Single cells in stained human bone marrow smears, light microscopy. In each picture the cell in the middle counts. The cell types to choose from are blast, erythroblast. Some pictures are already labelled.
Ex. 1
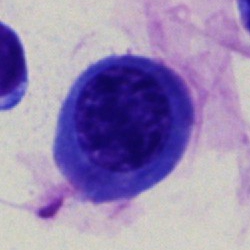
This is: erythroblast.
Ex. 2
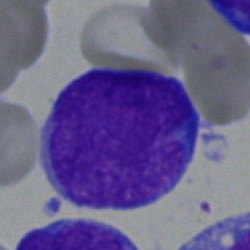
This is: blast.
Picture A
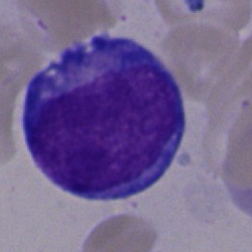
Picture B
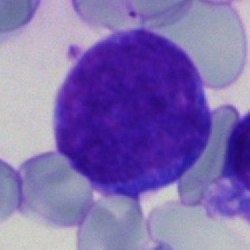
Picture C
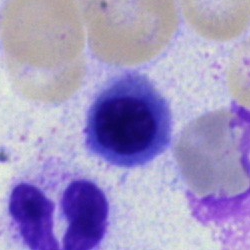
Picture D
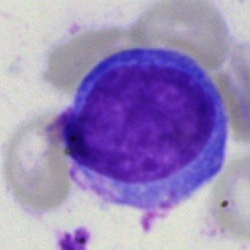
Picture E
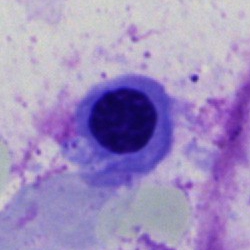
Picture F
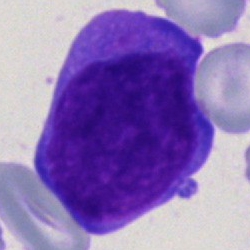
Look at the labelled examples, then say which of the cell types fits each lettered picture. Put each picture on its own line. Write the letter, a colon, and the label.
A: blast.
B: blast.
C: erythroblast.
D: blast.
E: erythroblast.
F: blast.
